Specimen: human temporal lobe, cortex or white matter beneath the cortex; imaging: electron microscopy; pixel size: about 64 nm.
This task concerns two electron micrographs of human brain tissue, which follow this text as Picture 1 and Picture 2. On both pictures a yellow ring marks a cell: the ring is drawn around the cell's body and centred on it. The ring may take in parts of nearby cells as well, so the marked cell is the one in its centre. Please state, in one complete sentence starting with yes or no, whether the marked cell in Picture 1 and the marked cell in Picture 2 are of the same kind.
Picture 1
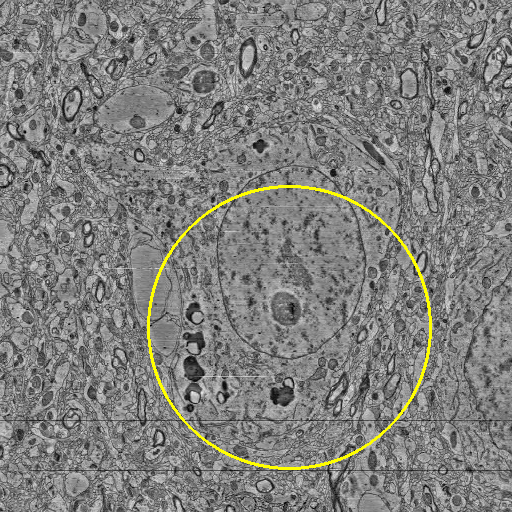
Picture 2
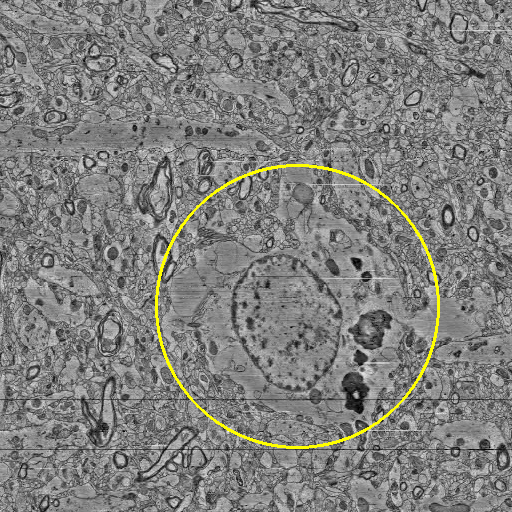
No, the marked cells in the two pictures are of two kinds.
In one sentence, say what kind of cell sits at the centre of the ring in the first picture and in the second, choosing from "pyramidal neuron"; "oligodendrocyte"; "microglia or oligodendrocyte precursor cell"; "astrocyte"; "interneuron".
The first picture's ringed cell is a pyramidal neuron, while the second picture's is an astrocyte.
